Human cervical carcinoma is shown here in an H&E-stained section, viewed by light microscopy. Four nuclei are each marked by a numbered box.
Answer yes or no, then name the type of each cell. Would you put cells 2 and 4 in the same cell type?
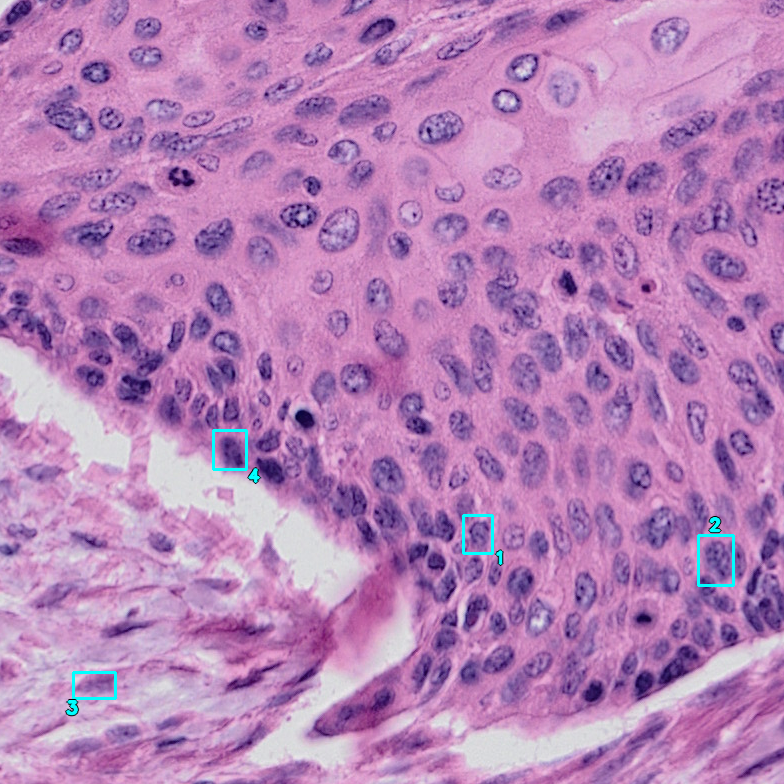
Yes, note that cells 2 and 4 are both squamous carcinoma cells.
